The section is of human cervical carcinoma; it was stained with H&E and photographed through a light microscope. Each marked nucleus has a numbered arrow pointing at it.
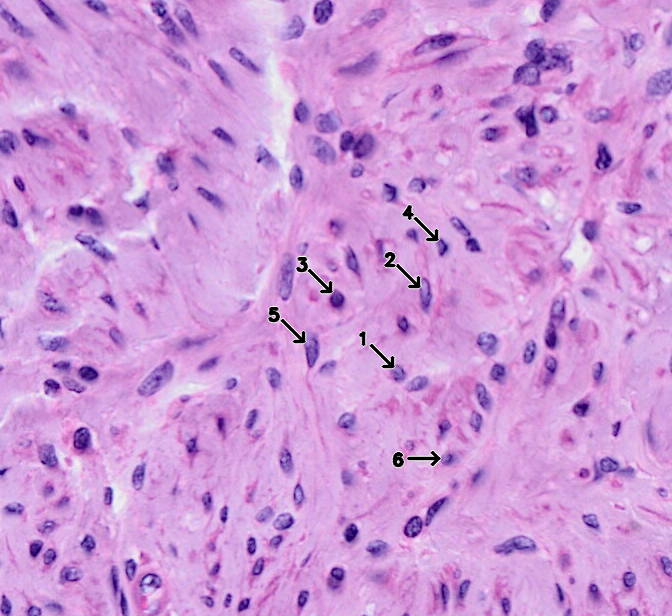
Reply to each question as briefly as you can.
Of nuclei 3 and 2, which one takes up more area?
2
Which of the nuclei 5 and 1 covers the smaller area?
1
